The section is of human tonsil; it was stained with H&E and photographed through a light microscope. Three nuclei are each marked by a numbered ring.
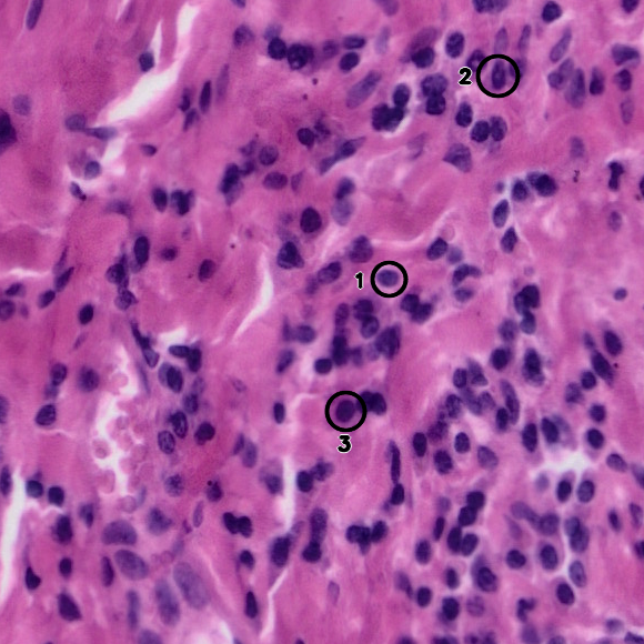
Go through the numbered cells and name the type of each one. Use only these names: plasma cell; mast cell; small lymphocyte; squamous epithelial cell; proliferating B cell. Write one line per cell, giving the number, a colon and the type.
1: mast cell
2: plasma cell
3: plasma cell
